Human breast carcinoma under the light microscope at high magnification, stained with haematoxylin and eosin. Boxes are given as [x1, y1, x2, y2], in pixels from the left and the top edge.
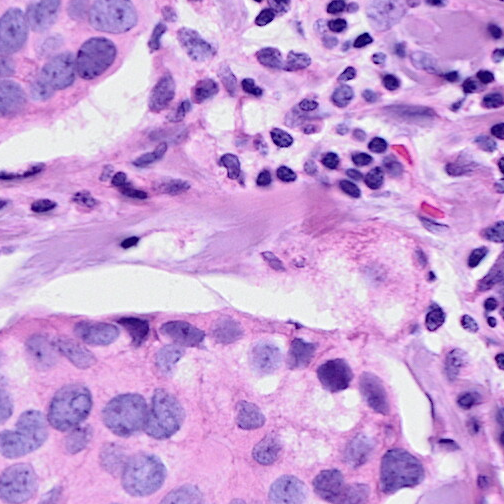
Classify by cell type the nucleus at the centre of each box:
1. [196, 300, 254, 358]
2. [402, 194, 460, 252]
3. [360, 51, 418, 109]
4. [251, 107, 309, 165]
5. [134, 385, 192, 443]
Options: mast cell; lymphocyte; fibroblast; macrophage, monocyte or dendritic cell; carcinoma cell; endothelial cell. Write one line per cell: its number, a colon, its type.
1: carcinoma cell
2: endothelial cell
3: lymphocyte
4: lymphocyte
5: carcinoma cell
